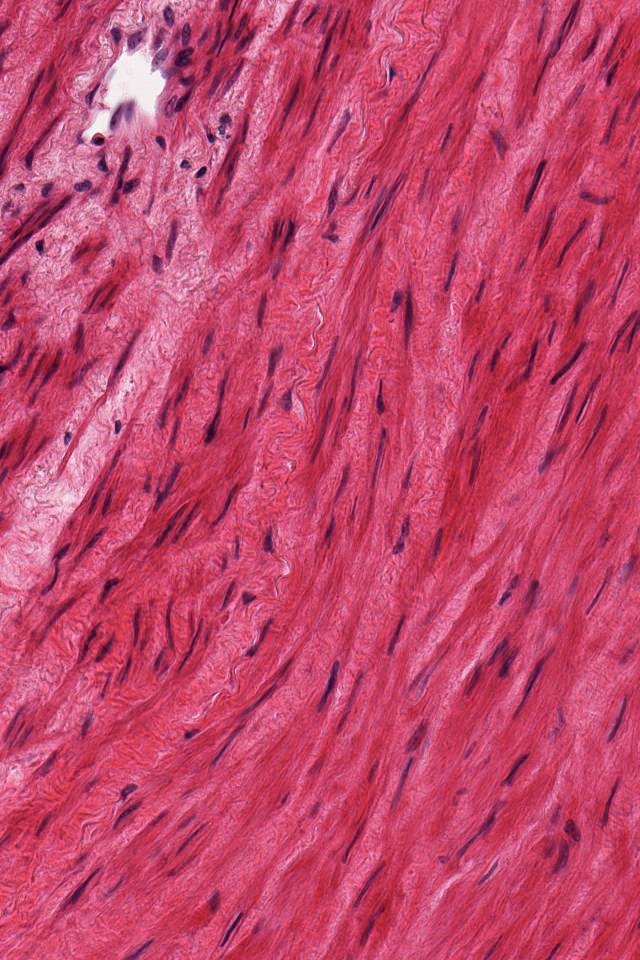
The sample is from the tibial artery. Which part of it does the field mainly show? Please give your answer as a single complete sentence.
On this slide, the tissue part is known as tunica media.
